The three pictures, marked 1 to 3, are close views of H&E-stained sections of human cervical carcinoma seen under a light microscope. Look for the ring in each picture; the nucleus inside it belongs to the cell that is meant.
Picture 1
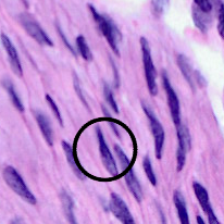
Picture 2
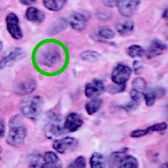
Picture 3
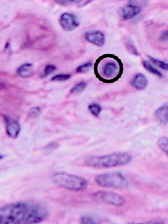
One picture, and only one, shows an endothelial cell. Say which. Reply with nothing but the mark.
2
